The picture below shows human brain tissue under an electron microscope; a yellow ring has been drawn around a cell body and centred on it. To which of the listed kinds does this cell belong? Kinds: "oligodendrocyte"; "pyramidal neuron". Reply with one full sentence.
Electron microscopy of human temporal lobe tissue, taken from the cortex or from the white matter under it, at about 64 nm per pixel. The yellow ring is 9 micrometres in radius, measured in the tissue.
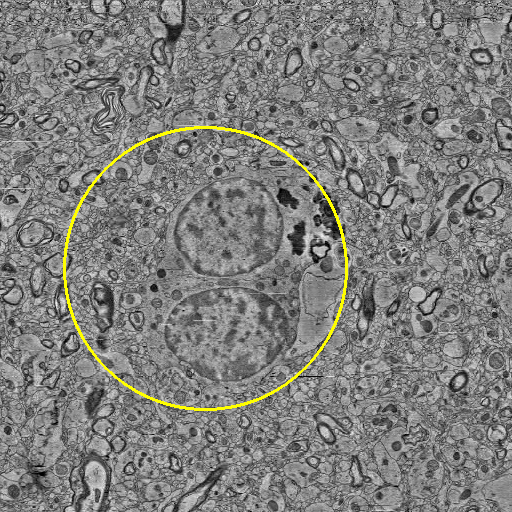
It is an oligodendrocyte that the yellow ring in the picture is centred on.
